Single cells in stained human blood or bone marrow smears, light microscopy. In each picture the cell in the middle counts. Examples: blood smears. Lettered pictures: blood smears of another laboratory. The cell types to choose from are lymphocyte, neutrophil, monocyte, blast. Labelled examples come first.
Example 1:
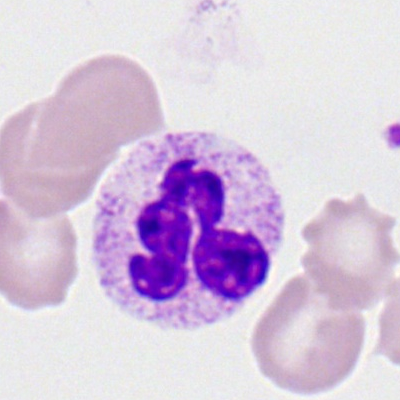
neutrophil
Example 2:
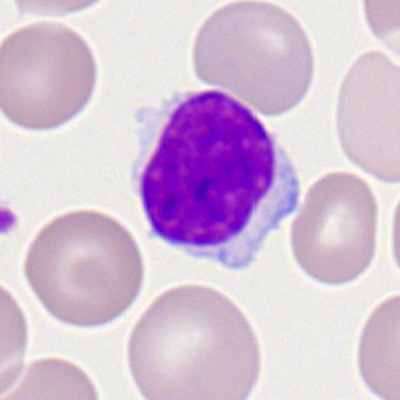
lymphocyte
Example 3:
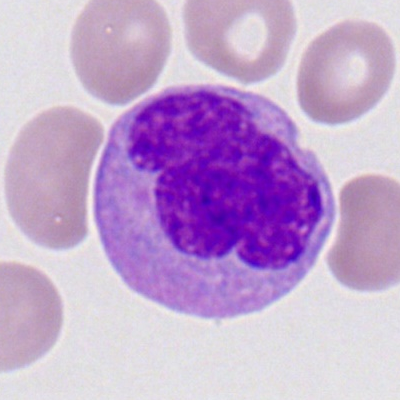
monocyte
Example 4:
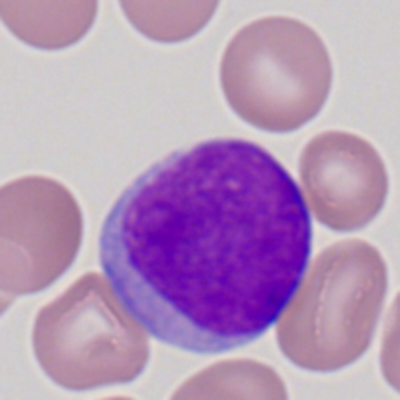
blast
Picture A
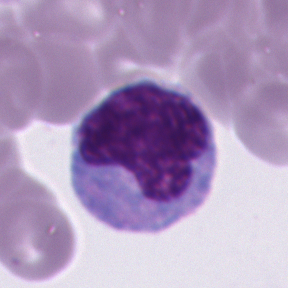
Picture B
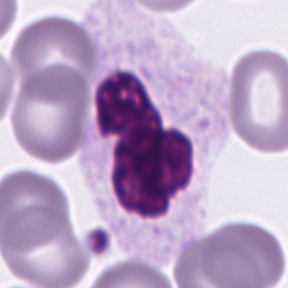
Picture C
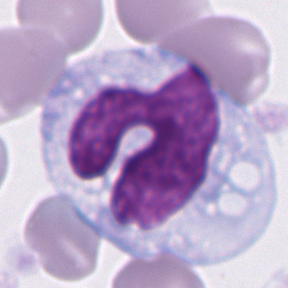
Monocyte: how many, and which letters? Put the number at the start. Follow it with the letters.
2: A, C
